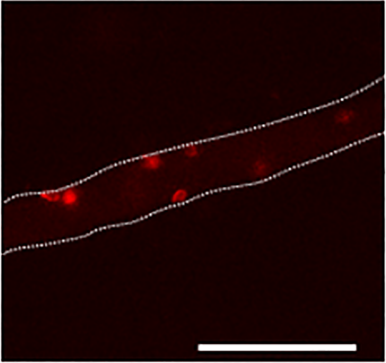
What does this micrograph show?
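The vessel runs diagonally as a band of even width, its walls traced by two dashed lines. The lumen glows faintly red against a darker surround. About half a dozen bright, round to slightly oval cells sit inside the vessel, mostly close to the walls, some sharply in focus and others blurred, as if in a different plane. The cells are of similar size, small relative to the vessel width, with no internal detail resolved. No cells are bright outside the vessel outline.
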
